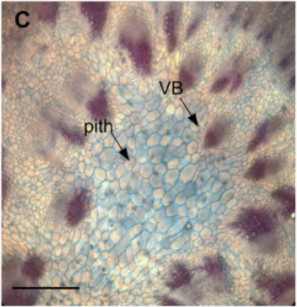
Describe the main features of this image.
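The central cells are large, rounded to polygonal and thin-walled, with walls stained blue. Around them lie smaller parenchyma cells with pale beige walls. Scattered radially around the centre are compact clusters of small cells stained red-purple.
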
